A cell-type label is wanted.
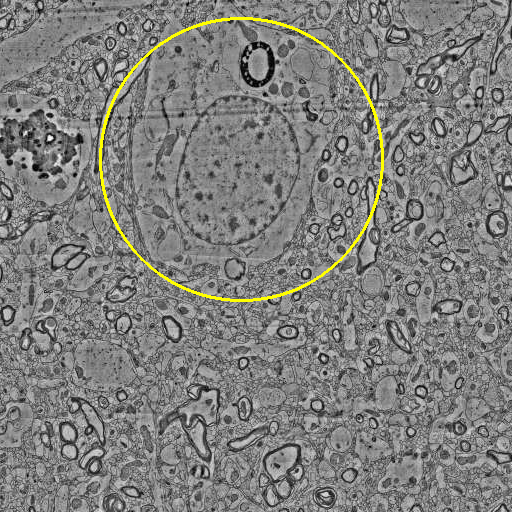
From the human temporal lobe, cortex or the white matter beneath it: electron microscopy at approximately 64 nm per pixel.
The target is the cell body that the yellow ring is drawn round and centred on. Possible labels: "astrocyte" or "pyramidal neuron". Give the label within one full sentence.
Of the labels offered, the cell in the middle of the yellow ring is an astrocyte.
